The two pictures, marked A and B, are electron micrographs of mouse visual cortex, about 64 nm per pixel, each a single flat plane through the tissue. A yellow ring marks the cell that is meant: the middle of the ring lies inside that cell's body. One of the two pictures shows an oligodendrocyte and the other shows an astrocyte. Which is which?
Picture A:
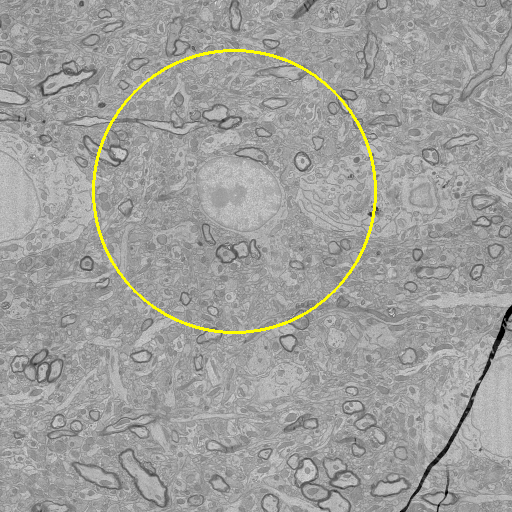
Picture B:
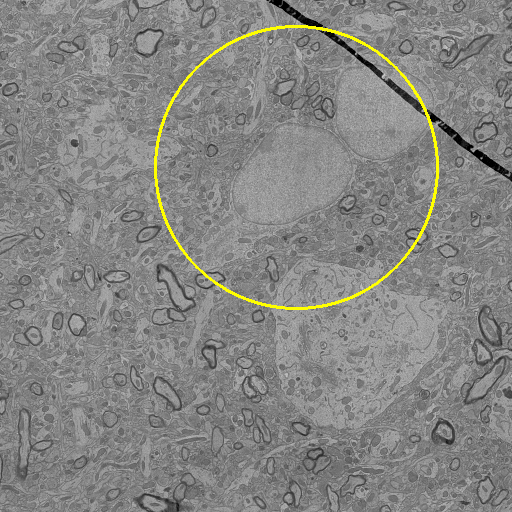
It is picture A that shows an oligodendrocyte, and picture B that shows an astrocyte.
